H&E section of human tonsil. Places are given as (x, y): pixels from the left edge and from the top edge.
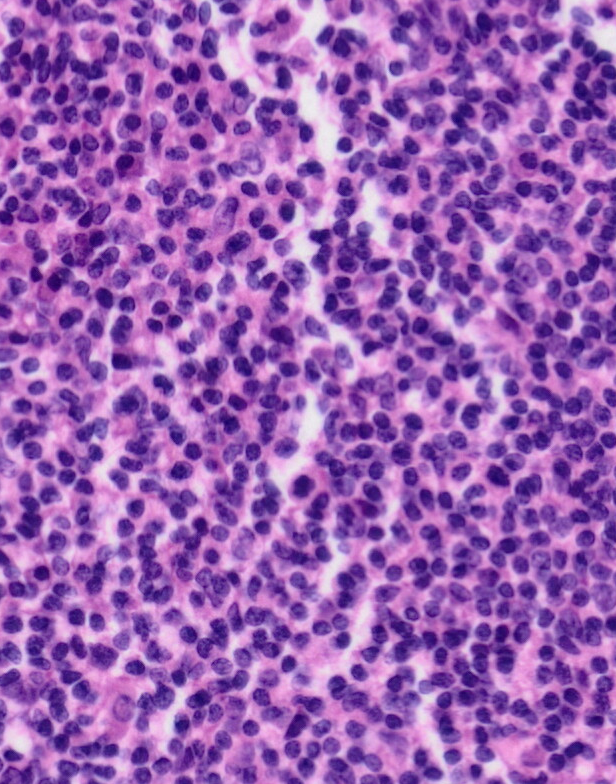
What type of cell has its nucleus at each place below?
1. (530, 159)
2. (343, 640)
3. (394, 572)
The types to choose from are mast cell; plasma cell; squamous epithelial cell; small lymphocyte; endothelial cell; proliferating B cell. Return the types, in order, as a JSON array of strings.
["plasma cell", "small lymphocyte", "small lymphocyte"]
